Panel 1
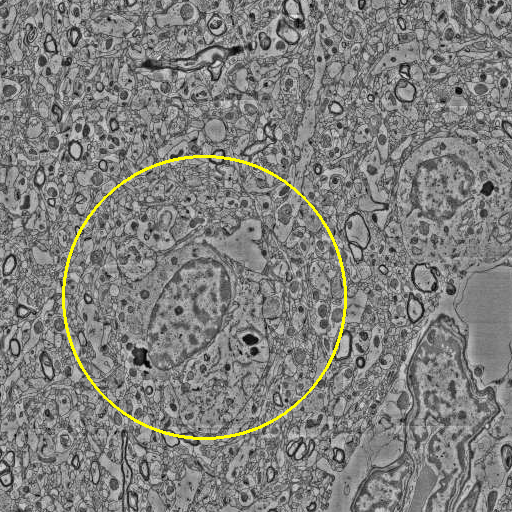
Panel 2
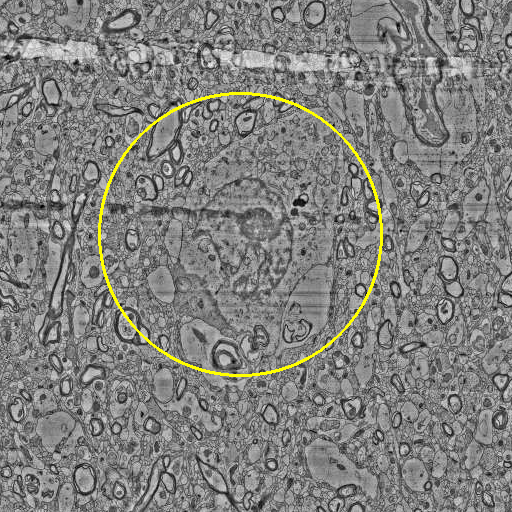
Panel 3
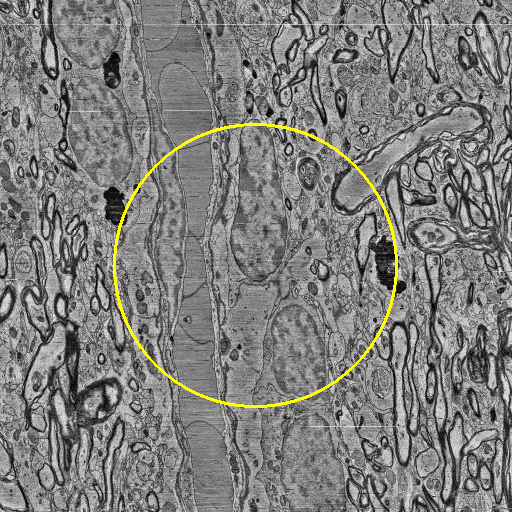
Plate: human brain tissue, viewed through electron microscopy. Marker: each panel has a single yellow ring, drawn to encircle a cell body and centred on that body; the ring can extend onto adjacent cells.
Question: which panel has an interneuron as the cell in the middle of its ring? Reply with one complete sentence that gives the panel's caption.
Panel 2 is where the requested cell sits at the centre of the ring.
